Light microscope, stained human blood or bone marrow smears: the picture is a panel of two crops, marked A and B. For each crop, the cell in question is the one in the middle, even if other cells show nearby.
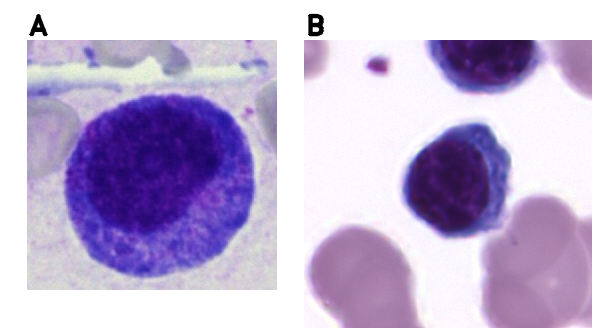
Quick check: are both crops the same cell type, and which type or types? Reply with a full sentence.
No, it is a promyelocyte in crop A and a plasma cell in crop B.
